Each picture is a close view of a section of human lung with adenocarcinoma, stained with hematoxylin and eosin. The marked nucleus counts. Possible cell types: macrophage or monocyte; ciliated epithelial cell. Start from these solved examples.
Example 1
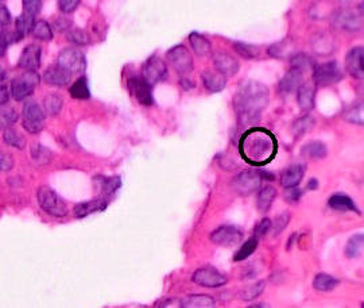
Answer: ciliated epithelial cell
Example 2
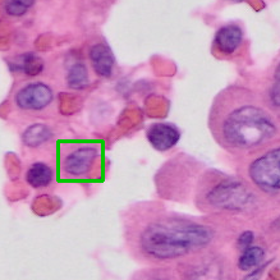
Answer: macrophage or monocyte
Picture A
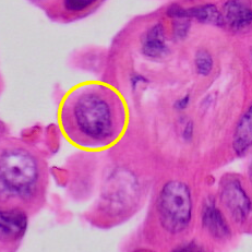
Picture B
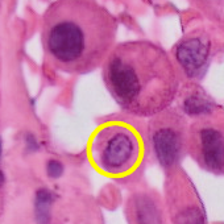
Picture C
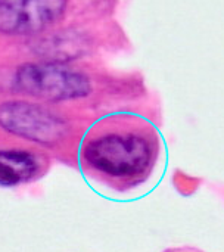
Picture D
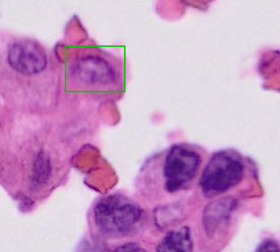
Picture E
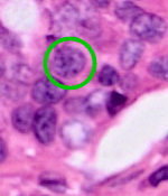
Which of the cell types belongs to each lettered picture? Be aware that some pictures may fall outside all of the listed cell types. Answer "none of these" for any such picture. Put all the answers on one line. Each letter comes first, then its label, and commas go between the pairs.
A none of these, B macrophage or monocyte, C none of these, D macrophage or monocyte, E ciliated epithelial cell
